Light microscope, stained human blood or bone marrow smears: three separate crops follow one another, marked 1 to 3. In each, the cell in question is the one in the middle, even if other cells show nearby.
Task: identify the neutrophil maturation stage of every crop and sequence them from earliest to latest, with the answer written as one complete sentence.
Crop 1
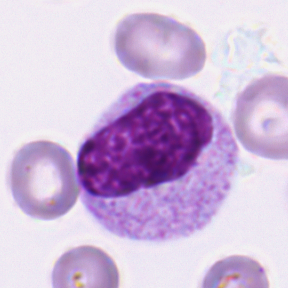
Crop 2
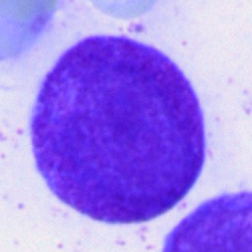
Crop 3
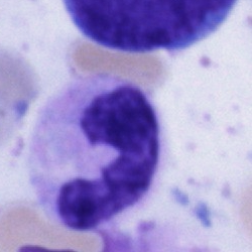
From the earliest stage onward, the order is crop 2 (a promyelocyte), crop 1 (a metamyelocyte) and crop 3 (a band neutrophil).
